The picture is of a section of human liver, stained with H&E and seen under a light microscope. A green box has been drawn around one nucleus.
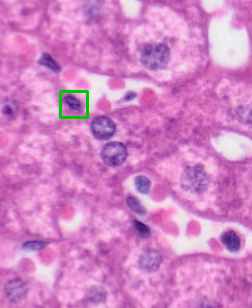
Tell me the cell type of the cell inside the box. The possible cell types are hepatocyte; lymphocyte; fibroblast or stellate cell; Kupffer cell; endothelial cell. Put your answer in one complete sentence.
Typologically, the cell inside the box is a Kupffer cell in this section.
